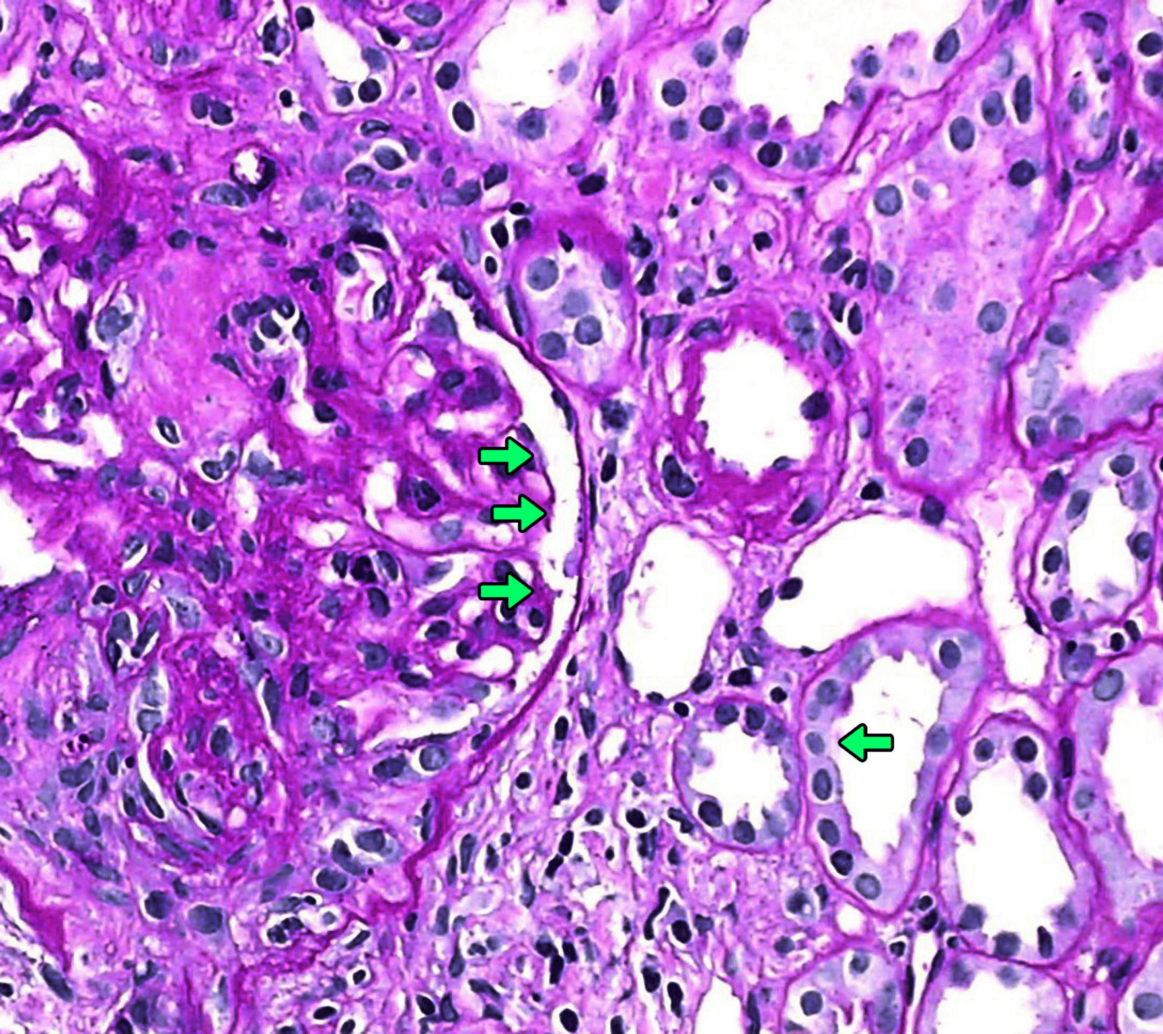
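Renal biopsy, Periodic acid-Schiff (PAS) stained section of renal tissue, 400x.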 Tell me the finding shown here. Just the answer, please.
Cellular crescent formation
